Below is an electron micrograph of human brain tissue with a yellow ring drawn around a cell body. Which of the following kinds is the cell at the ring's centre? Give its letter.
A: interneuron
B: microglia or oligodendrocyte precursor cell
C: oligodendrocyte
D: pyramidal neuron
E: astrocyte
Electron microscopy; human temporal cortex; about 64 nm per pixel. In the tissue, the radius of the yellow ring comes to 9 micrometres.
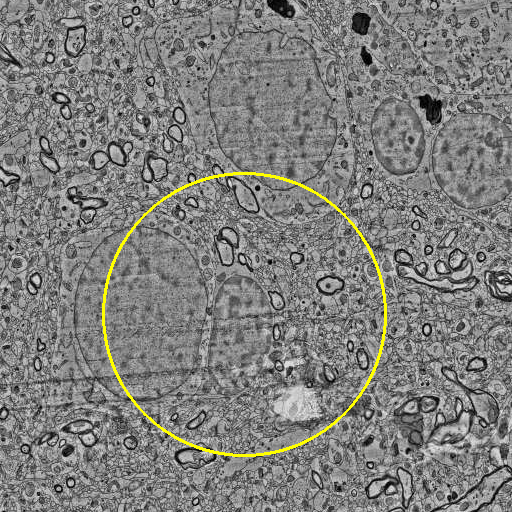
C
